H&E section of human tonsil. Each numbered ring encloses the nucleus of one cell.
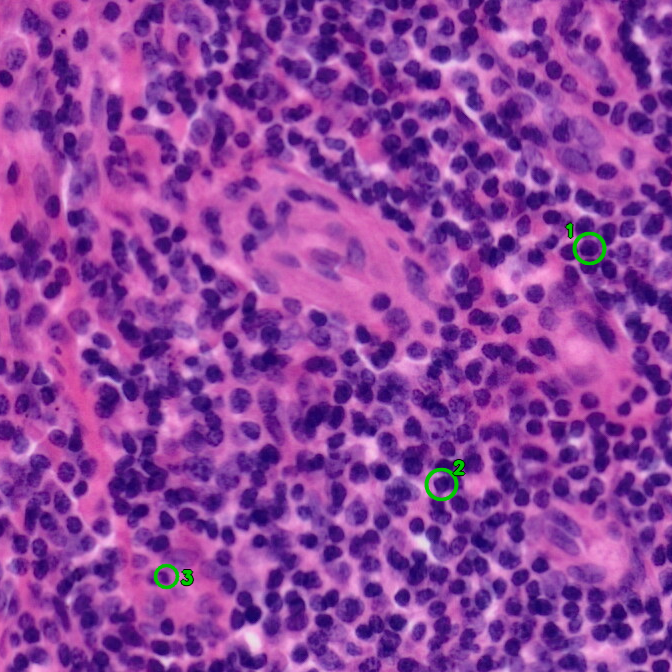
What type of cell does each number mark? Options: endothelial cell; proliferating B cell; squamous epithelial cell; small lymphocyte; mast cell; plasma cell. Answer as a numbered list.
1. small lymphocyte
2. small lymphocyte
3. endothelial cell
